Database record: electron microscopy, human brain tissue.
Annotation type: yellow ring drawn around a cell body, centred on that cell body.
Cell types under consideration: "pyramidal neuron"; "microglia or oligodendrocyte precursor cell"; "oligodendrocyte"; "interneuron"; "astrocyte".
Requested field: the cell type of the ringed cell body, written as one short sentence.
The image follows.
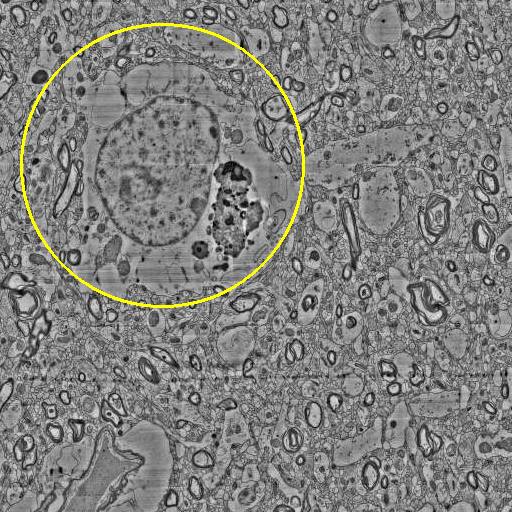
The ringed cell body represents an astrocyte.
